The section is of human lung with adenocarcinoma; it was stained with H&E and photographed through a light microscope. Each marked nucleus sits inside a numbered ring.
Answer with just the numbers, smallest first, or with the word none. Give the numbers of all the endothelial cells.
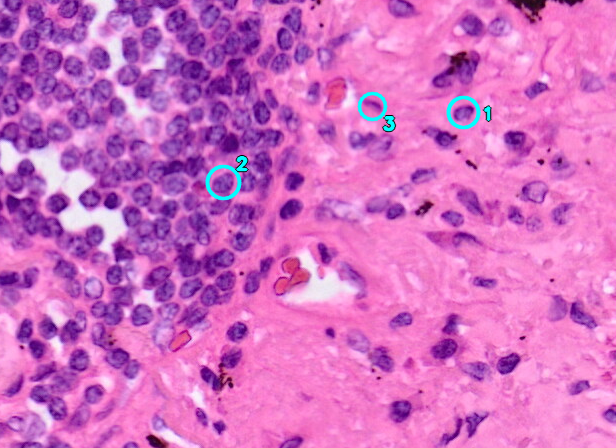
3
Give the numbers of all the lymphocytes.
2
